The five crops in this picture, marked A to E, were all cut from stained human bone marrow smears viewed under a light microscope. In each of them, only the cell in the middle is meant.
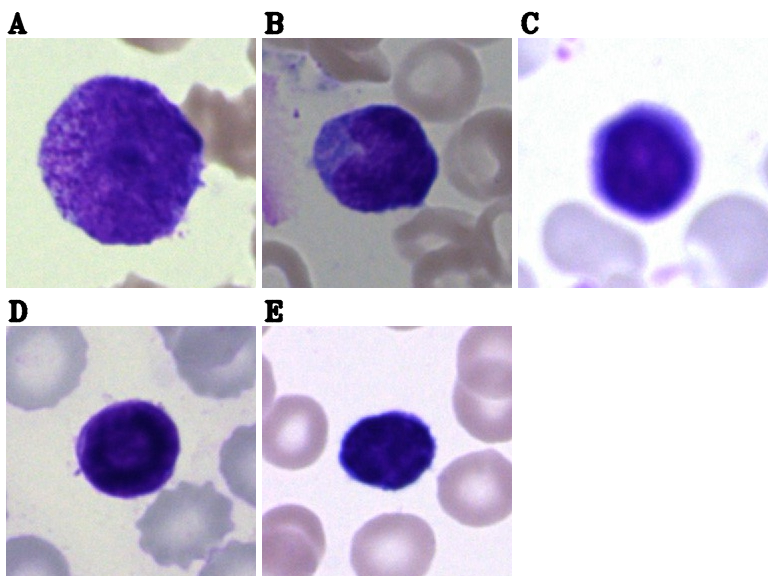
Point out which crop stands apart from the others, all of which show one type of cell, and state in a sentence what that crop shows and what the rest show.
For this set, crop A is a blast, and all the rest are lymphocytes.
